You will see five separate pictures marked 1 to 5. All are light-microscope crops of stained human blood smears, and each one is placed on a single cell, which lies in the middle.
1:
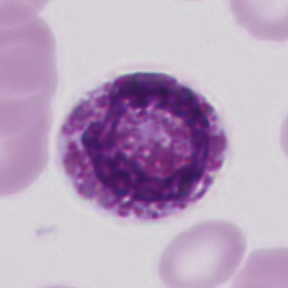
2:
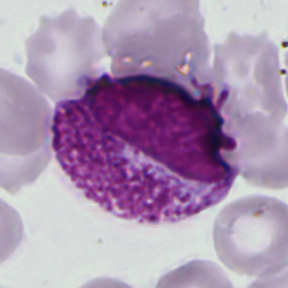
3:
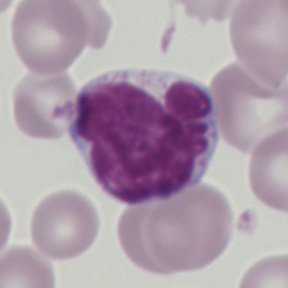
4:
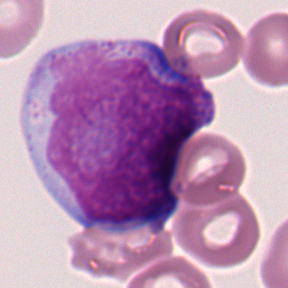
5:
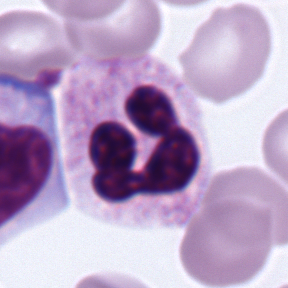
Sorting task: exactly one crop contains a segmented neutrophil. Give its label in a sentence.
The crop marked 5 is the one in which a segmented neutrophil is shown.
